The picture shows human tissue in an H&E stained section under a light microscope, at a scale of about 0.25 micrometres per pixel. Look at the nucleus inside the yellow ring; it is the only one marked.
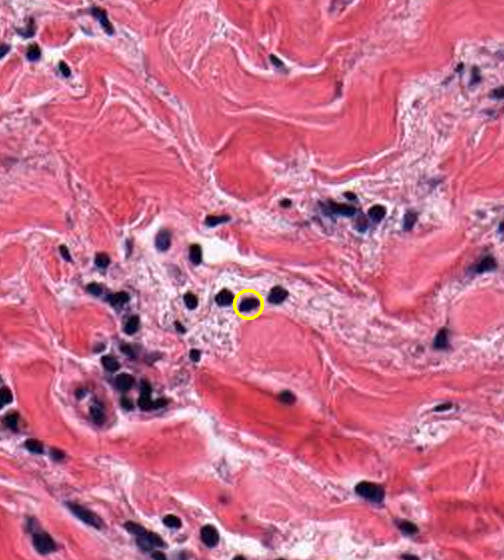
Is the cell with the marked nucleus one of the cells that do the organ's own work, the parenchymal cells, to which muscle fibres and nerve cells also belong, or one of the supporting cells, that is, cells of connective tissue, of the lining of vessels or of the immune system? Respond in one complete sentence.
The cell that the marked nucleus belongs to is a supporting cell.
